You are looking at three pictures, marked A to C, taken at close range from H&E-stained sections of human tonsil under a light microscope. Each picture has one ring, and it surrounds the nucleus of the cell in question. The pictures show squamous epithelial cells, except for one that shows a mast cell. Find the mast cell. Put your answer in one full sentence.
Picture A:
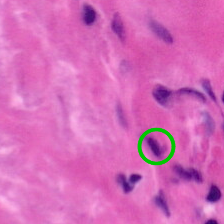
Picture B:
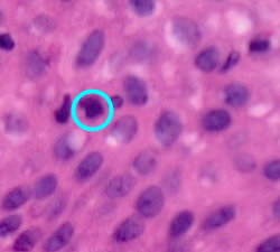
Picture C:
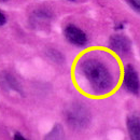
The cell in picture A is the mast cell.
